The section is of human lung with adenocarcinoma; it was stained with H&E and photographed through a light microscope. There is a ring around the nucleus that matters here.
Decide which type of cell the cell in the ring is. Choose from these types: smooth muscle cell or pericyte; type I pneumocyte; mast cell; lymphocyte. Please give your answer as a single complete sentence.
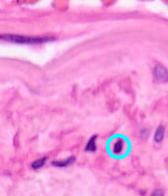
It is as a smooth muscle cell or pericyte that the cell in the ring is classified.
